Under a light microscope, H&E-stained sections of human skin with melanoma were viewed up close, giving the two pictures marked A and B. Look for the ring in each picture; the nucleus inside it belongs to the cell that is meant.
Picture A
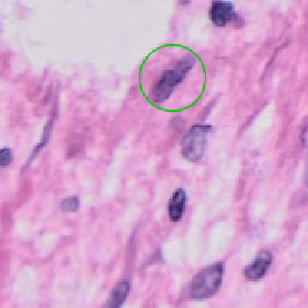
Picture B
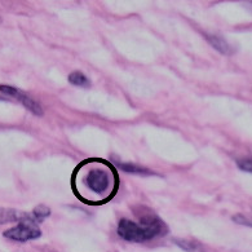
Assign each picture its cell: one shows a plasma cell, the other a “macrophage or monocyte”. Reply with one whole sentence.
The cell in picture A is a “macrophage or monocyte”, and the one in picture B is a plasma cell.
